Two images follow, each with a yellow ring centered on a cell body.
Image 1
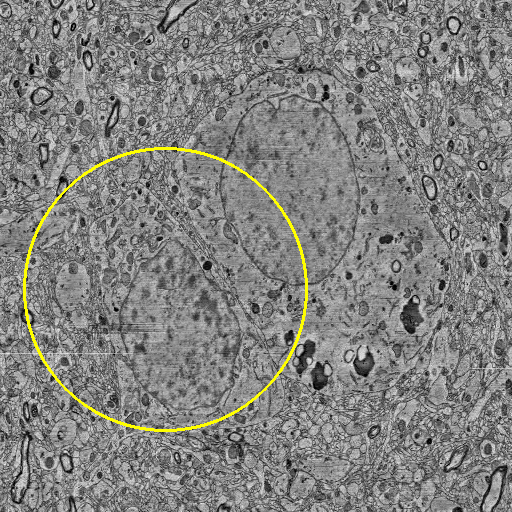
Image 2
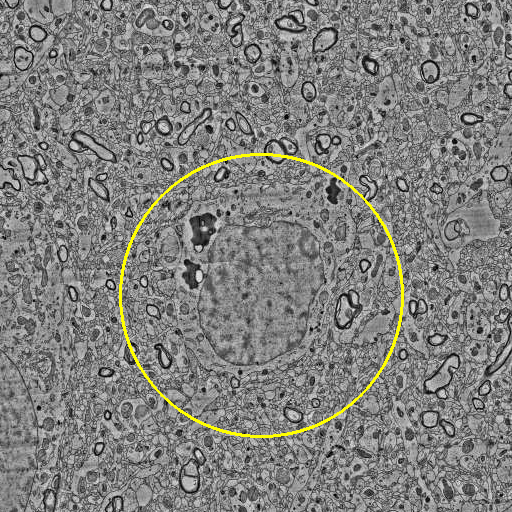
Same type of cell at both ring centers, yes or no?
yes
